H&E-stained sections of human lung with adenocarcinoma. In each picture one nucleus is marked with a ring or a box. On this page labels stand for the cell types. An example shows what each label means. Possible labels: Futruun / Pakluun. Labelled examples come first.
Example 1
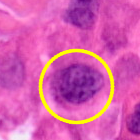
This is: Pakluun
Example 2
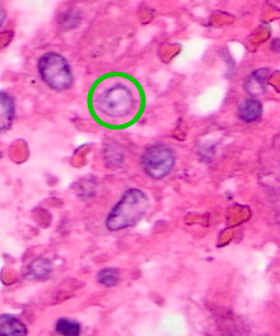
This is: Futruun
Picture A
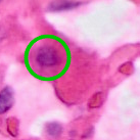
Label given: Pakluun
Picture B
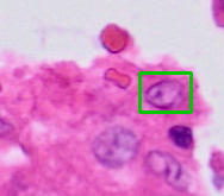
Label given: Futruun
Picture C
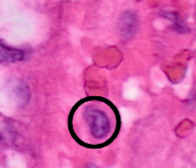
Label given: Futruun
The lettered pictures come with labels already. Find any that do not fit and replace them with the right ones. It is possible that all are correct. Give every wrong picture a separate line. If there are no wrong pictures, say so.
Wrong: A (Pakluun); correct: Futruun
